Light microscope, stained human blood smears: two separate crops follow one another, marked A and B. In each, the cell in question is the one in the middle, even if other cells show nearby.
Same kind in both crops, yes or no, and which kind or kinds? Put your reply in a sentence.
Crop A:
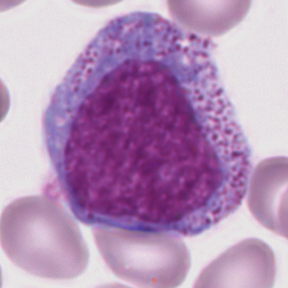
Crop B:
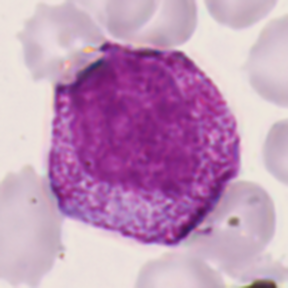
Yes, the cells in the centres of the two crops are promyelocytes.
